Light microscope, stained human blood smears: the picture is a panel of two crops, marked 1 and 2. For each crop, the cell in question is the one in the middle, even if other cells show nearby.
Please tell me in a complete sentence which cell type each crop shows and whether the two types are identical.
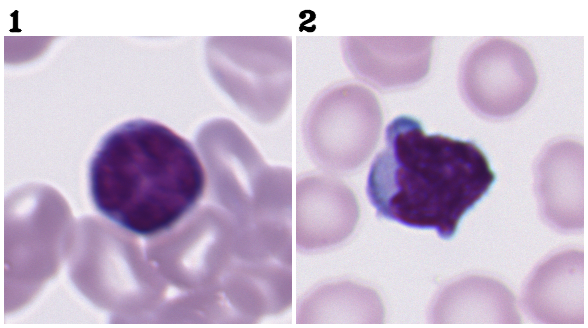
Yes, both crops show typical lymphocytes, the one and the other.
